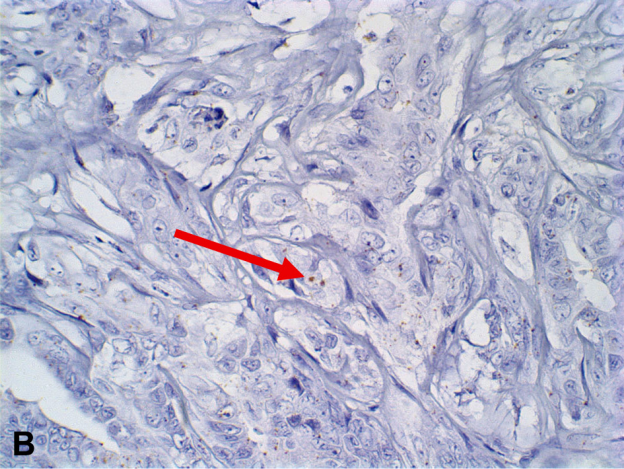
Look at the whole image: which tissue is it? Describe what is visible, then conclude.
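Small groups and strands of epithelial cells lie within fibrous stroma. The groups have irregular shapes rather than smooth rounded borders.
Invasive carcinomatous areas.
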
